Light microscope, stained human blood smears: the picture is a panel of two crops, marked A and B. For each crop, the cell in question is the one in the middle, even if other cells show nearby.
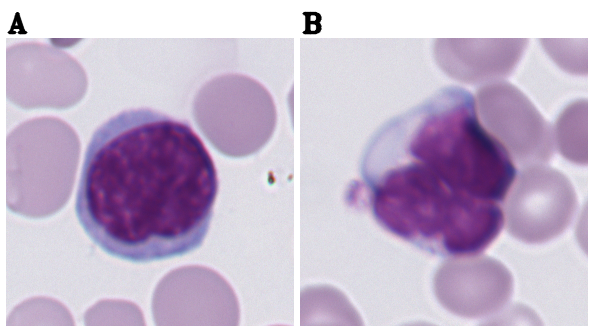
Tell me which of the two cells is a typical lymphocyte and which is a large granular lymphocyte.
A: typical lymphocyte
B: large granular lymphocyte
